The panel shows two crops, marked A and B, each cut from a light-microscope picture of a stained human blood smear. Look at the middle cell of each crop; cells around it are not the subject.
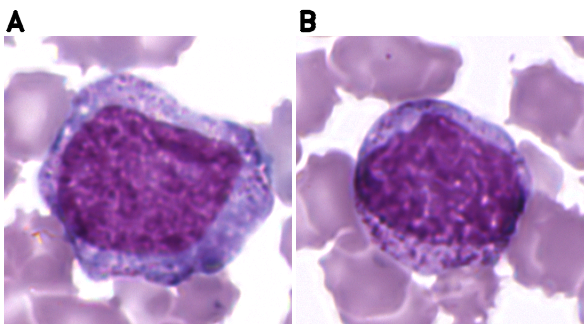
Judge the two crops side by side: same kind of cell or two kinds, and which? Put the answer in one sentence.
No, crop A shows a promyelocyte, and crop B, by contrast, shows a myelocyte.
